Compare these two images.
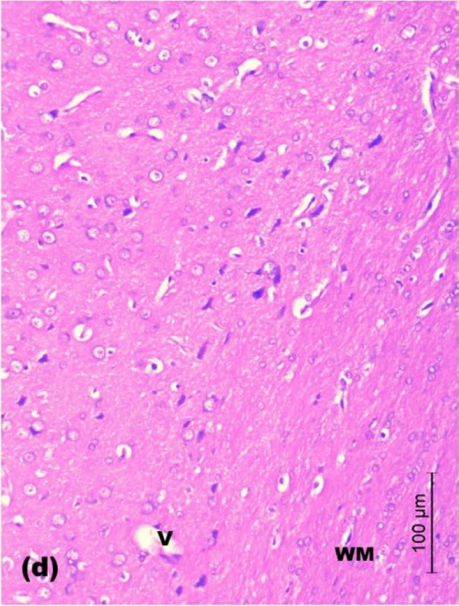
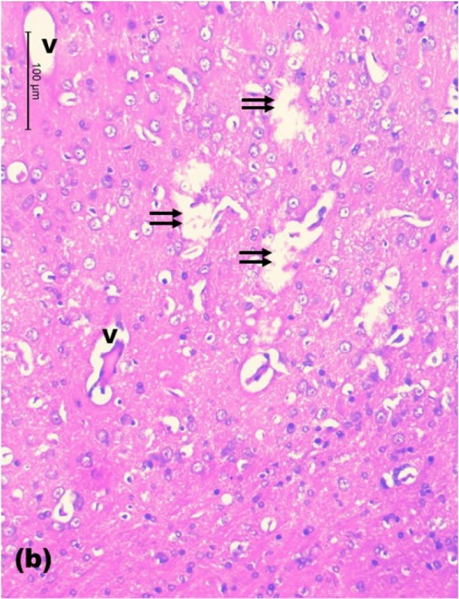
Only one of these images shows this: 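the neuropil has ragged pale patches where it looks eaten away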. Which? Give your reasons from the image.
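The second image. First image: the pink neuropil between the neurons is even, without pale torn patches. Second image: several irregular pale, frayed patches interrupt the pink neuropil.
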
